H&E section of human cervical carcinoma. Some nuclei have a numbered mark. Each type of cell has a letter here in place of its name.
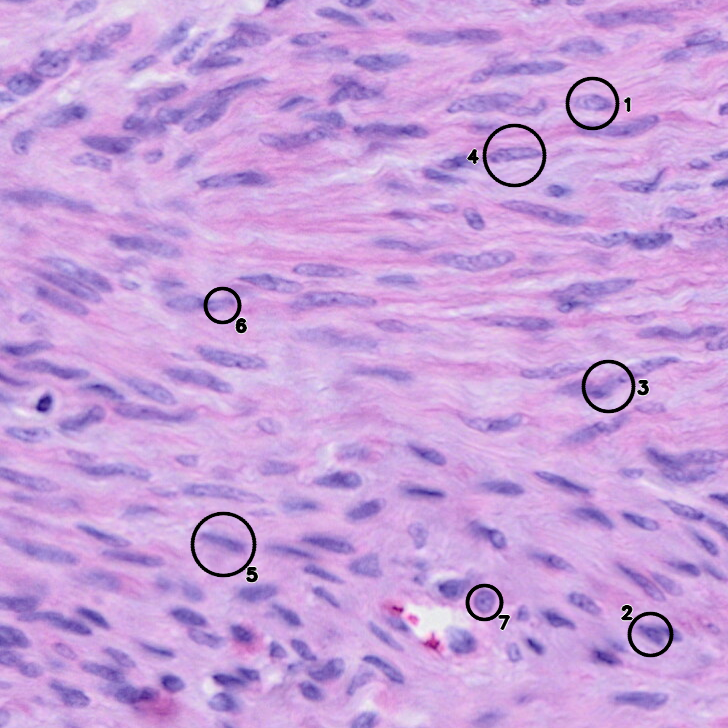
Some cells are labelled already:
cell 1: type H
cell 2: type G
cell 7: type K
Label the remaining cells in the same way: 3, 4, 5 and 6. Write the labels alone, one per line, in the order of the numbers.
type H
type H
type G
type H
